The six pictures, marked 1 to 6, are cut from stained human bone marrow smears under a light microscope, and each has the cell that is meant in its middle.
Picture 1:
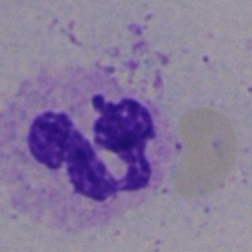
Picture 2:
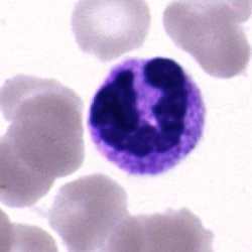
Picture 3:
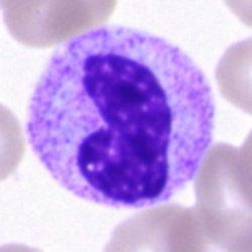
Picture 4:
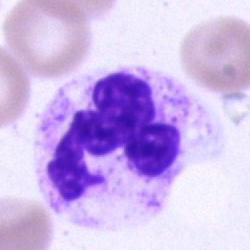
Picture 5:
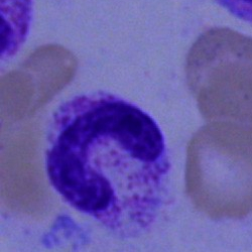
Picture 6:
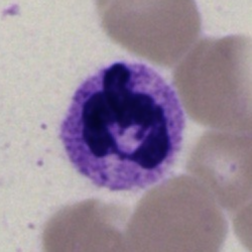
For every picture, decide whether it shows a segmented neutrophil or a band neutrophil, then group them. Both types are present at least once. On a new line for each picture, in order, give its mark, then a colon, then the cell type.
1: segmented neutrophil
2: segmented neutrophil
3: band neutrophil
4: segmented neutrophil
5: band neutrophil
6: segmented neutrophil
